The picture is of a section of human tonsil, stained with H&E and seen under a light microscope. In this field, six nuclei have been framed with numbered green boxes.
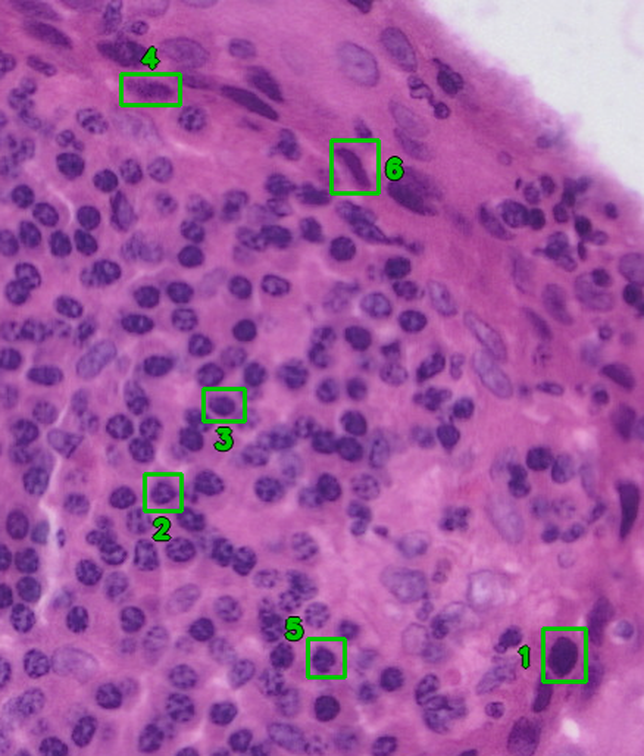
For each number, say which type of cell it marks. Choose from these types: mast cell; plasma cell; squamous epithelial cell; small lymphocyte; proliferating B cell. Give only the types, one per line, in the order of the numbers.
squamous epithelial cell
plasma cell
plasma cell
squamous epithelial cell
plasma cell
squamous epithelial cell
